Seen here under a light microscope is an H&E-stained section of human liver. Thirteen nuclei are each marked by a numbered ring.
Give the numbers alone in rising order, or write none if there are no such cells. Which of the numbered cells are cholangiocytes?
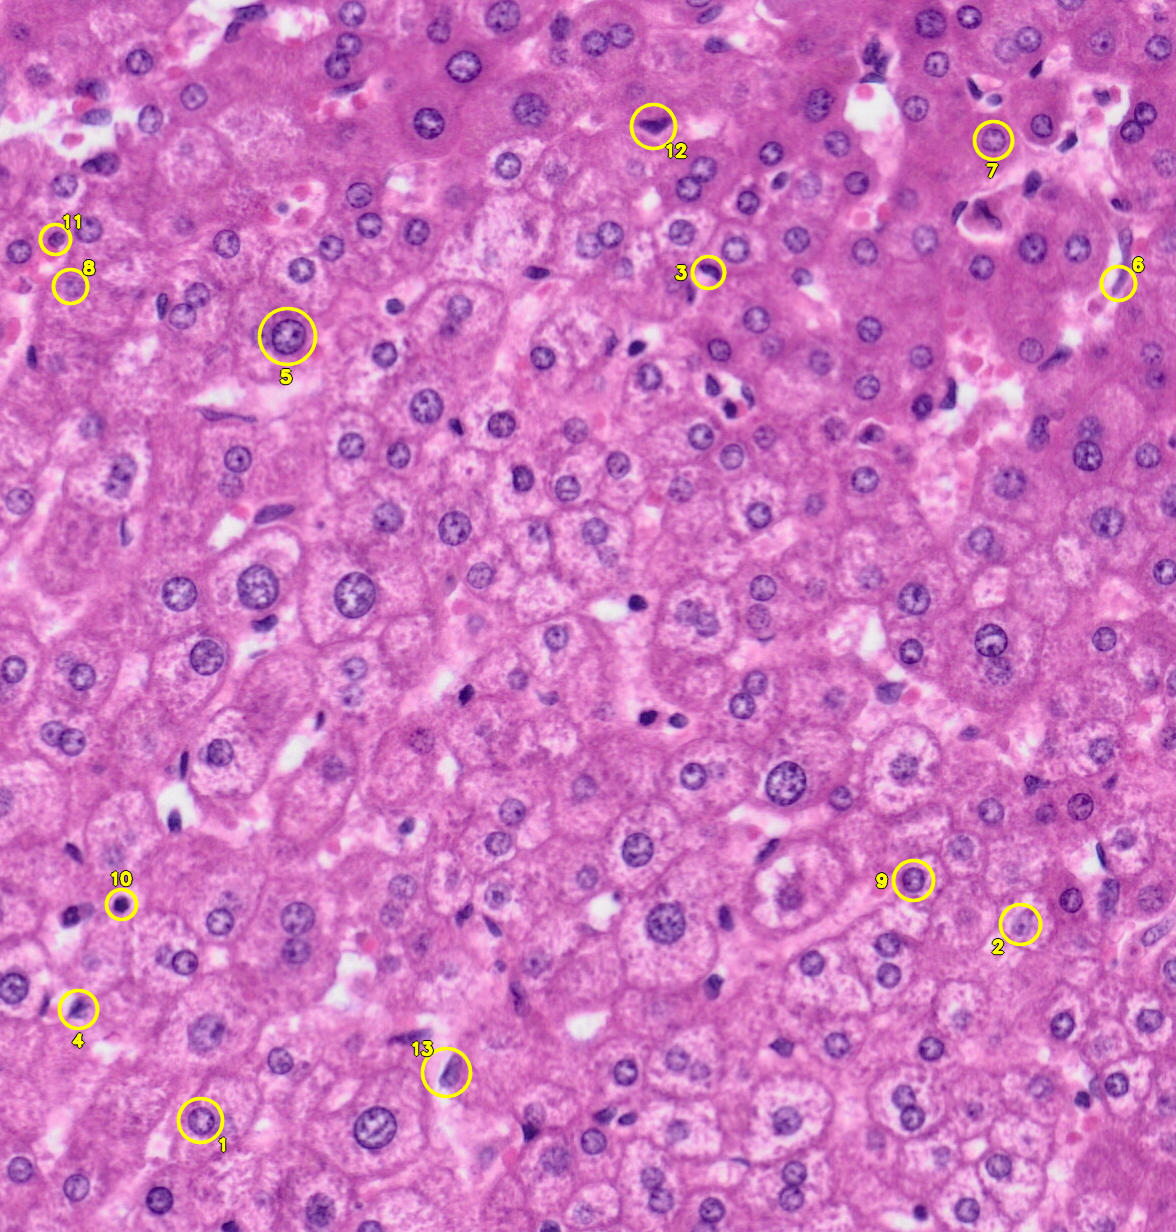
none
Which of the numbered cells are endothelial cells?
3, 4, 13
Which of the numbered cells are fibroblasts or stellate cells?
12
